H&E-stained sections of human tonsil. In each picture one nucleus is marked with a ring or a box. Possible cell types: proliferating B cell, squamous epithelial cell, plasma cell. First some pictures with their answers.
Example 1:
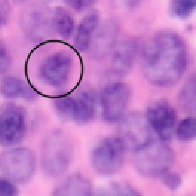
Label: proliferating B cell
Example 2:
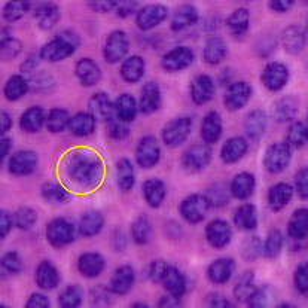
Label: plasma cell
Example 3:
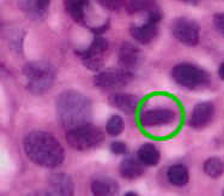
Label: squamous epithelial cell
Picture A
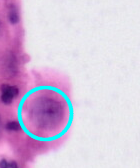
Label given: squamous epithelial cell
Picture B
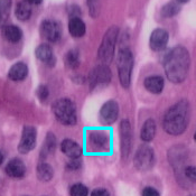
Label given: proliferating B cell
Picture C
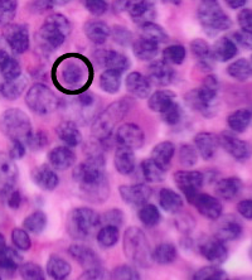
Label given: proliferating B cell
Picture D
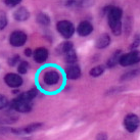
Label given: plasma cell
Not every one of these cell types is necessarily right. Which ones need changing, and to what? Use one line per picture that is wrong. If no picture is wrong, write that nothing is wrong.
B is labelled proliferating B cell; correct label: plasma cell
